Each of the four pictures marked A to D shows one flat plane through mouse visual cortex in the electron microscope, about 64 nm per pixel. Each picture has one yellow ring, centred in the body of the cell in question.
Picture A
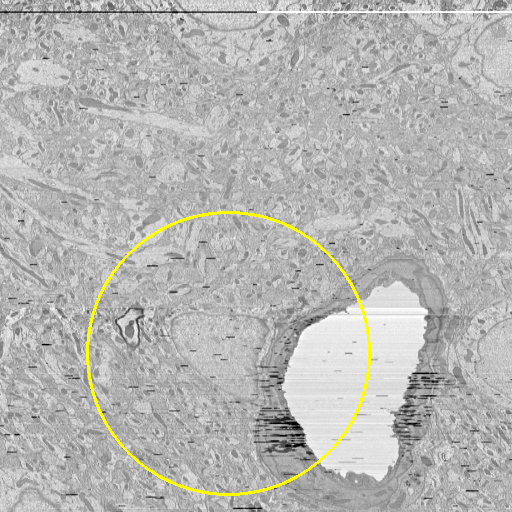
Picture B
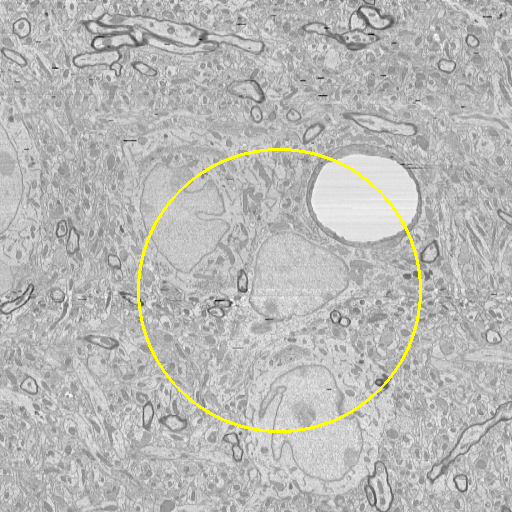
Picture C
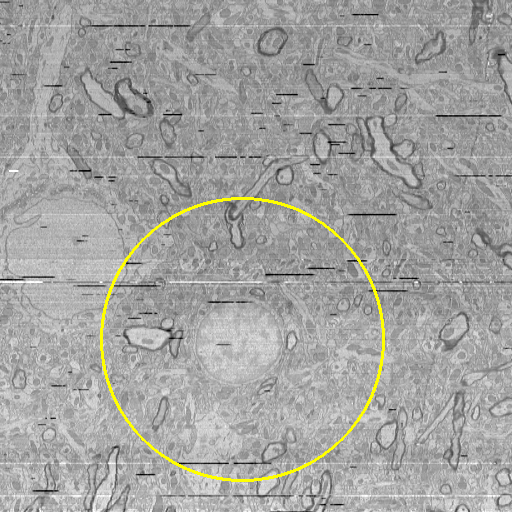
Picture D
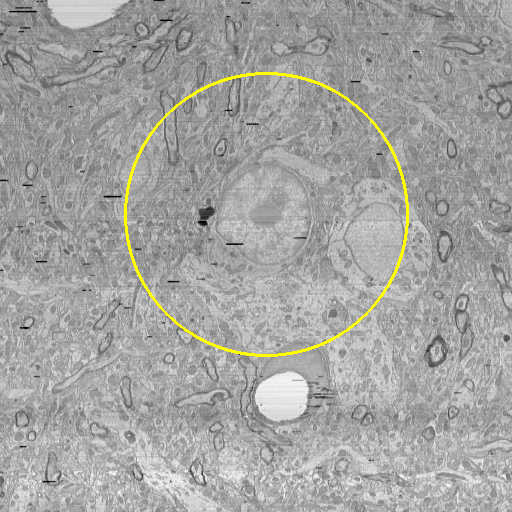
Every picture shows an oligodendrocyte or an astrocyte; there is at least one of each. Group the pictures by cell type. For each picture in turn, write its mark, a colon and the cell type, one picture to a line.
A: astrocyte
B: astrocyte
C: oligodendrocyte
D: oligodendrocyte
